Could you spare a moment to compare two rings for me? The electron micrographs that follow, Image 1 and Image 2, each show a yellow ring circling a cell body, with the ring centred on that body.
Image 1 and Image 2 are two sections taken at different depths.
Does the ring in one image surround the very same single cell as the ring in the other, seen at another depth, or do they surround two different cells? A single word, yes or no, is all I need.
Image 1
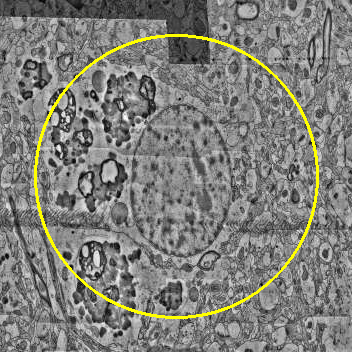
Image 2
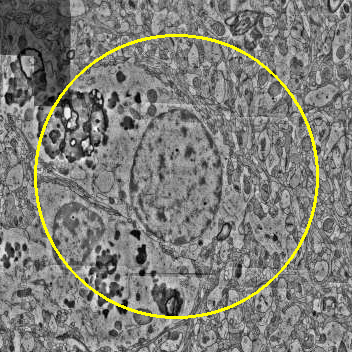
yes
